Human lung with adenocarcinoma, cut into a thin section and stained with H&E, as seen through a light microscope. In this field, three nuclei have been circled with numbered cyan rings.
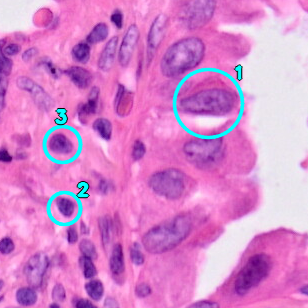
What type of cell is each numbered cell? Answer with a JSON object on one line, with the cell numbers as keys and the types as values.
{"1": "carcinoma cell", "2": "lymphocyte", "3": "lymphocyte"}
